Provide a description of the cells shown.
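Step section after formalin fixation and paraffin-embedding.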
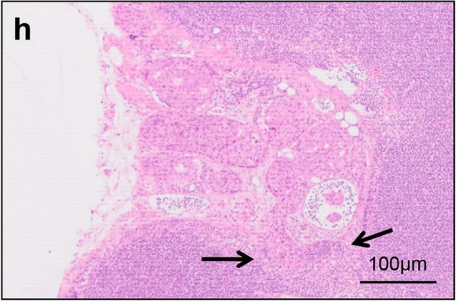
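Nests of metastatic tumor cells lie just beneath the capsule of a lymph node. They appear as pink, cohesive groups of larger cells, with dense dark-blue lymphoid tissue below and to the right of them. Loose pale connective tissue lies outside the capsule.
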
